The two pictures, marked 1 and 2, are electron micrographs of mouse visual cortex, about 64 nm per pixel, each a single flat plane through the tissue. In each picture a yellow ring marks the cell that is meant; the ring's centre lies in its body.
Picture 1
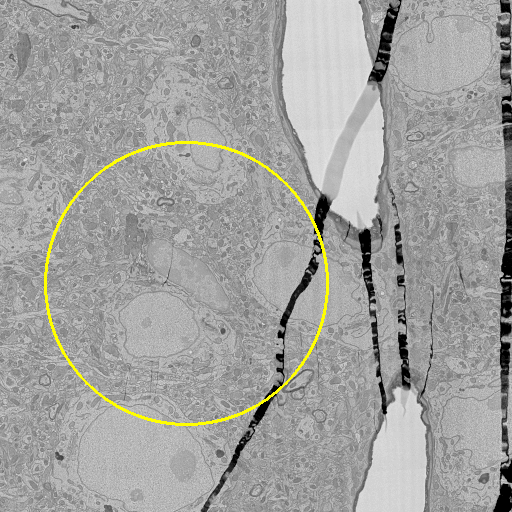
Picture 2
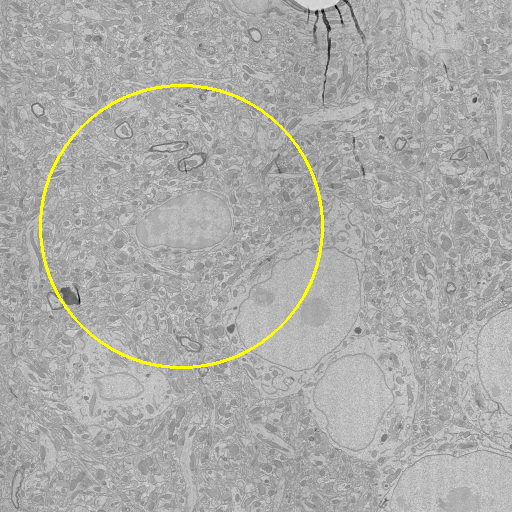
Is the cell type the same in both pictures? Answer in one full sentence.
Yes, the two pictures both show microglial cells.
